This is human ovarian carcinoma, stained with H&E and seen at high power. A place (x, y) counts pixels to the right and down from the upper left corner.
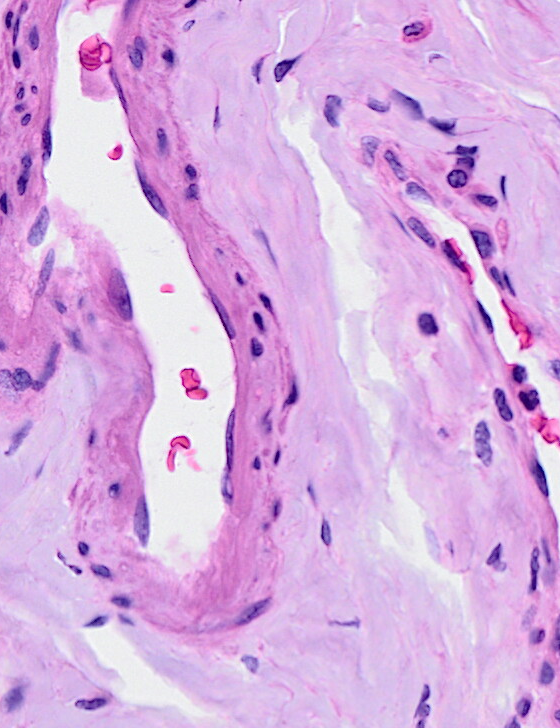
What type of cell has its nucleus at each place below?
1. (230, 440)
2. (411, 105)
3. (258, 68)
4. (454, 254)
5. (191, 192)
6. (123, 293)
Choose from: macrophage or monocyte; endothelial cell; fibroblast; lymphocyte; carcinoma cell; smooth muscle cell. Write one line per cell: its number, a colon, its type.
1: endothelial cell
2: fibroblast
3: fibroblast
4: endothelial cell
5: smooth muscle cell
6: endothelial cell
